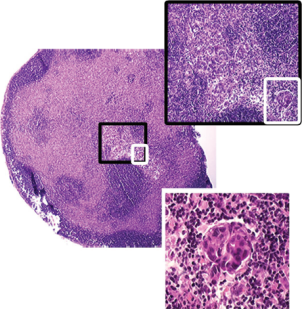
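This is a lymph node seen at low power, stained pink and purple, with two enlarged views of a small area. The node is a rounded organ: deeper purple nodular zones alternate with paler regions, where the cells lie less densely. In the middle enlargement the tissue is made of countless small round cells with dark purple nuclei and scant cytoplasm, the typical crowd of lymphocytes. In the highest enlargement a compact nest of larger cells stands out among them. These larger cells have more pink cytoplasm and bigger, paler nuclei, and they cling together as a cohesive group. Such a foreign cluster inside the node marks it as invaded.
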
